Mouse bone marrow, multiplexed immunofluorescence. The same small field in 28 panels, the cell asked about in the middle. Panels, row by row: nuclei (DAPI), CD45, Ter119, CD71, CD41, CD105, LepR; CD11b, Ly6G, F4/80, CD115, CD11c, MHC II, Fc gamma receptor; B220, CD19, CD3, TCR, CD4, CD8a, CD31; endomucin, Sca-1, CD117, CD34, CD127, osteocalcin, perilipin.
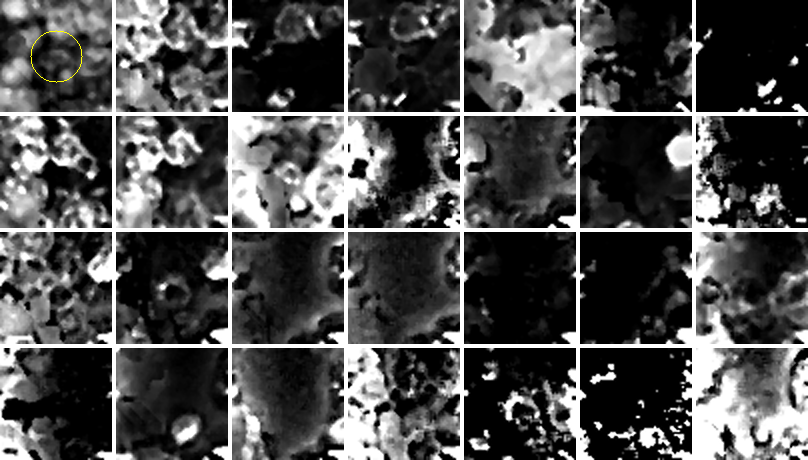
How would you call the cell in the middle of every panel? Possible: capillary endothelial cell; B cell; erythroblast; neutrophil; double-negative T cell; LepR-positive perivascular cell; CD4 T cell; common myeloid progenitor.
I would call it a B cell.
